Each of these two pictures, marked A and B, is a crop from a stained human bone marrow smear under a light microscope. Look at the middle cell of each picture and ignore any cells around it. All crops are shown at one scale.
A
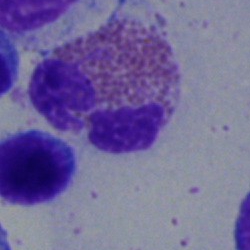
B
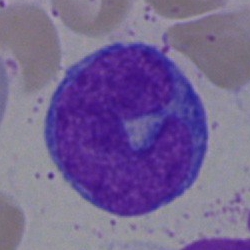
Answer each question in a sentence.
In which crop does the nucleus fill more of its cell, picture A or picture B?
It is the cell in picture B that is filled more by its nucleus.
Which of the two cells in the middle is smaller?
It is the cell in picture A; the cell in picture B has about 4 times its area.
